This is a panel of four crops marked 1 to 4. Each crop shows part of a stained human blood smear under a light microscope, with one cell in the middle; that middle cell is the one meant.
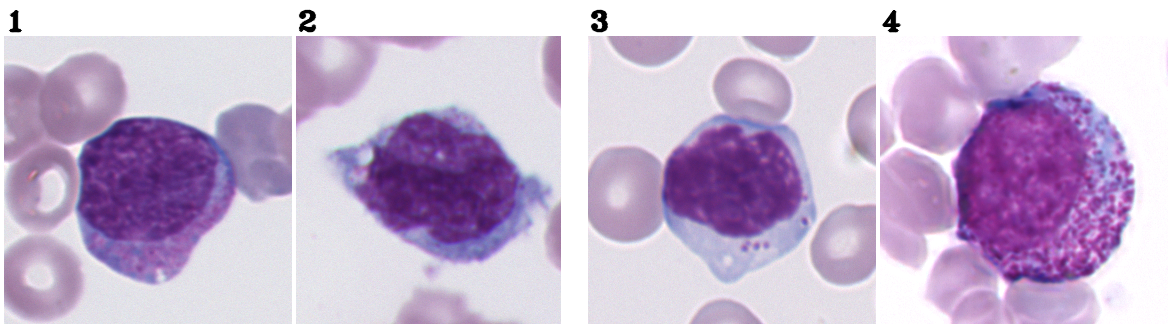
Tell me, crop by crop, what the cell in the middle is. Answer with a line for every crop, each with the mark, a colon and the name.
1: atypical promyelocyte
2: monocyte
3: large granular lymphocyte
4: promyelocyte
